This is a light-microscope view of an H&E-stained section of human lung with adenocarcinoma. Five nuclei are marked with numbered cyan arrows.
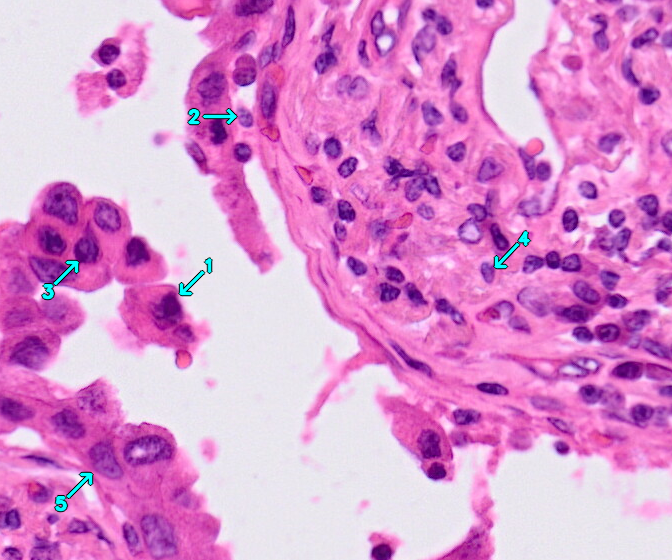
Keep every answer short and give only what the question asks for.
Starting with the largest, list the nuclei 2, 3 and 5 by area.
5, 3, 2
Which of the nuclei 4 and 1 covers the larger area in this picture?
1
